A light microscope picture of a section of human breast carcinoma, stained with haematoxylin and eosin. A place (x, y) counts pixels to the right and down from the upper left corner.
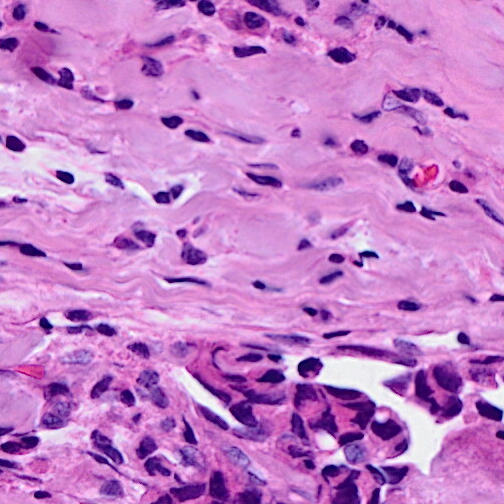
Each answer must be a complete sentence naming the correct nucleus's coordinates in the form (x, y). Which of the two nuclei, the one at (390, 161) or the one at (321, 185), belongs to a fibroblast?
It is the nucleus at (321, 185) that belongs to a fibroblast.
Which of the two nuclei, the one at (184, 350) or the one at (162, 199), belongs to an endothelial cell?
The correct choice is the nucleus at (184, 350), which belongs to an endothelial cell.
